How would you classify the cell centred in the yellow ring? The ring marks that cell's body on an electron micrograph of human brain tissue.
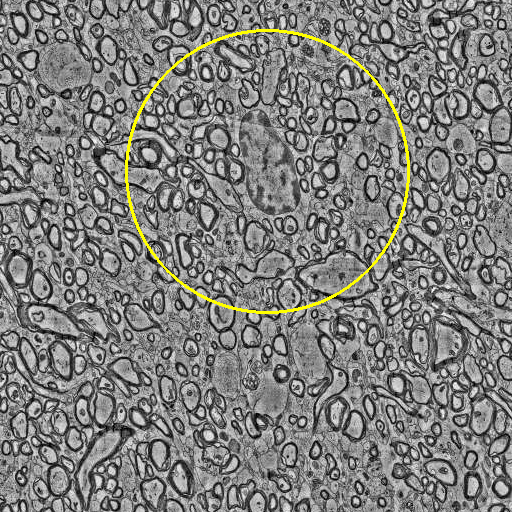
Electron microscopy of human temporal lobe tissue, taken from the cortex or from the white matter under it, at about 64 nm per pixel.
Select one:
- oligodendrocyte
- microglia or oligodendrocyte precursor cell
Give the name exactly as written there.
microglia or oligodendrocyte precursor cell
